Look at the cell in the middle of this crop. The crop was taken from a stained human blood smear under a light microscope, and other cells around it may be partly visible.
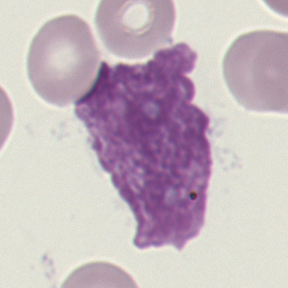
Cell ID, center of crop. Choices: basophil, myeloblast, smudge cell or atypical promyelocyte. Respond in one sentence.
This crop is built around a smudge cell at its centre.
